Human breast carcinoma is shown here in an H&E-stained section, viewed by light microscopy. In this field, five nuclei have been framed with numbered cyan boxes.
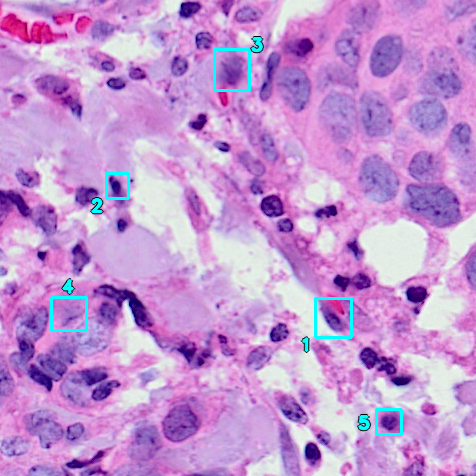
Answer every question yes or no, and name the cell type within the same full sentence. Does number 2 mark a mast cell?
No, the cell that carries number 2 is a lymphocyte, not a mast cell.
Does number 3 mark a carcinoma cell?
No, number 3 points to an endothelial cell and not to a carcinoma cell.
